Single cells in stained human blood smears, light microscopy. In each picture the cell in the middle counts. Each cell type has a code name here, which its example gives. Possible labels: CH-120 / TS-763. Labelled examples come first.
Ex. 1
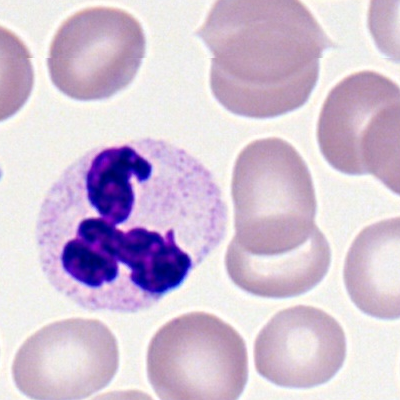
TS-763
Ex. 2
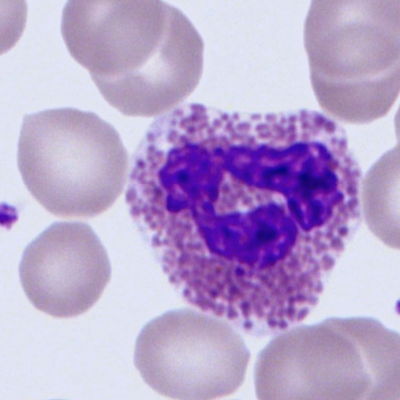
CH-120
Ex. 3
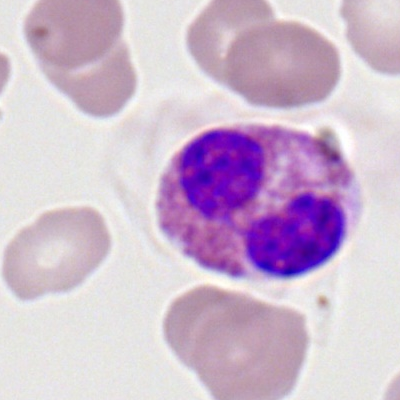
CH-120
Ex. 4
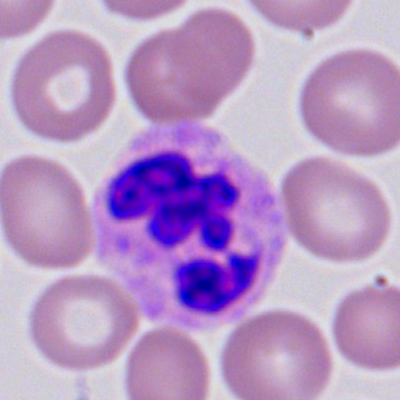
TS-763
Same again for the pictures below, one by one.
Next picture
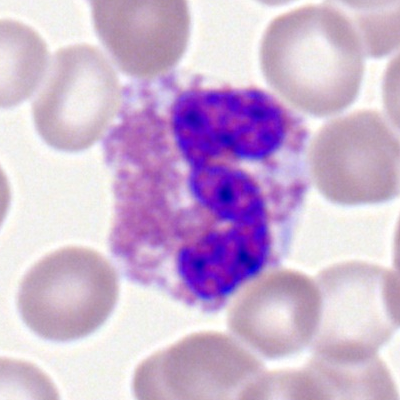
CH-120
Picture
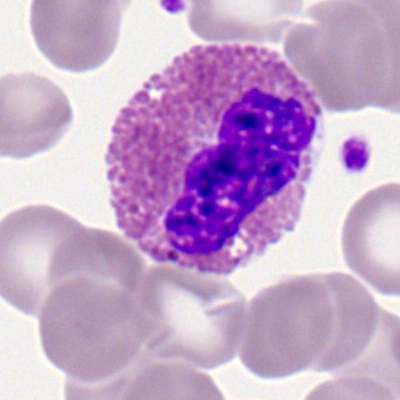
CH-120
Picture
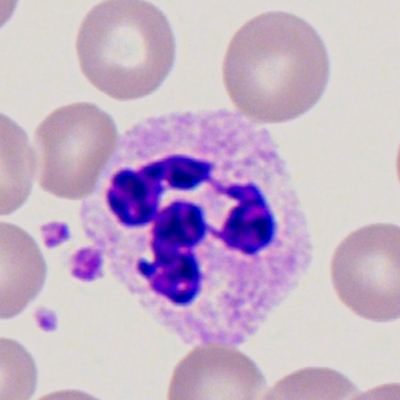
TS-763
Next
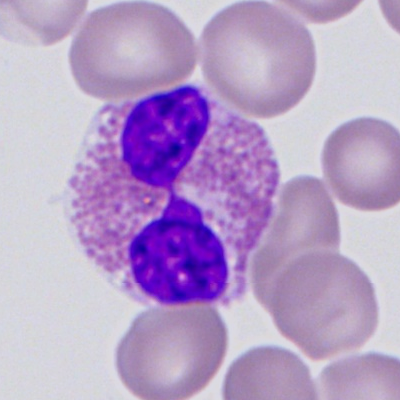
CH-120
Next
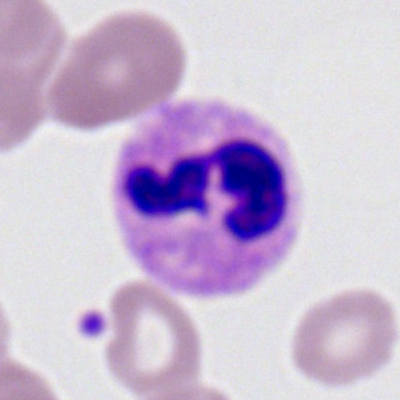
TS-763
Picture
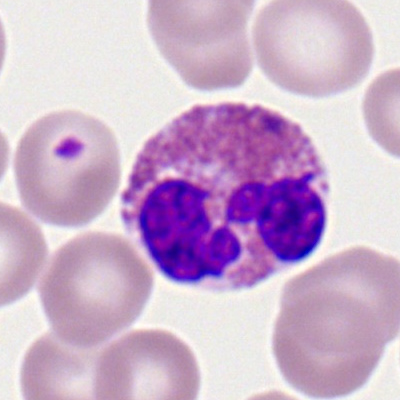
CH-120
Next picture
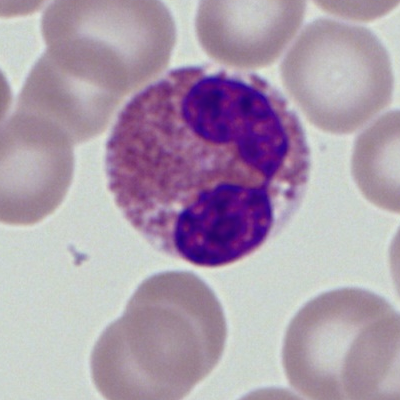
CH-120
